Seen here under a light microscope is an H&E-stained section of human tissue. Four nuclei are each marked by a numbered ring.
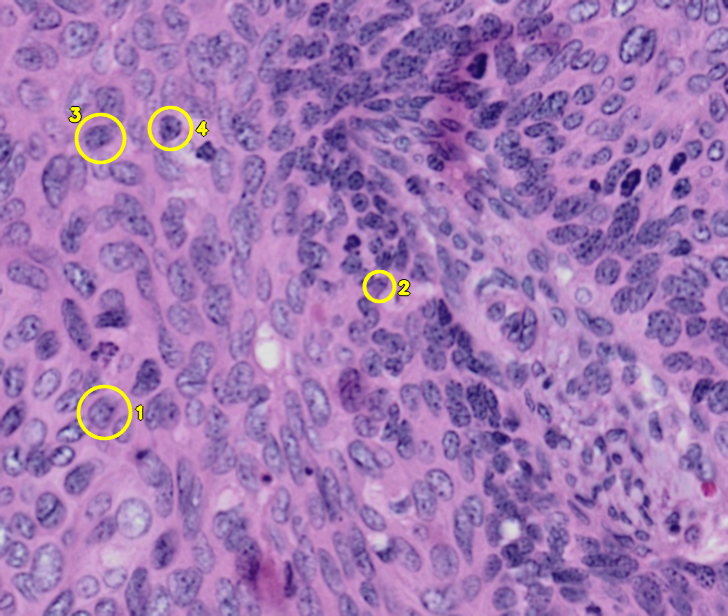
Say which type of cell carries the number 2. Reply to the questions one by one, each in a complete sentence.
Cell 2 is classified as a squamous carcinoma cell.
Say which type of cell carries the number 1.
Marked with the number 1, this cell is a squamous carcinoma cell.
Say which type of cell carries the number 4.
The correct answer for cell 4 is a lymphocyte.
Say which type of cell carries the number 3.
The label 3 in this section denotes a squamous carcinoma cell.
